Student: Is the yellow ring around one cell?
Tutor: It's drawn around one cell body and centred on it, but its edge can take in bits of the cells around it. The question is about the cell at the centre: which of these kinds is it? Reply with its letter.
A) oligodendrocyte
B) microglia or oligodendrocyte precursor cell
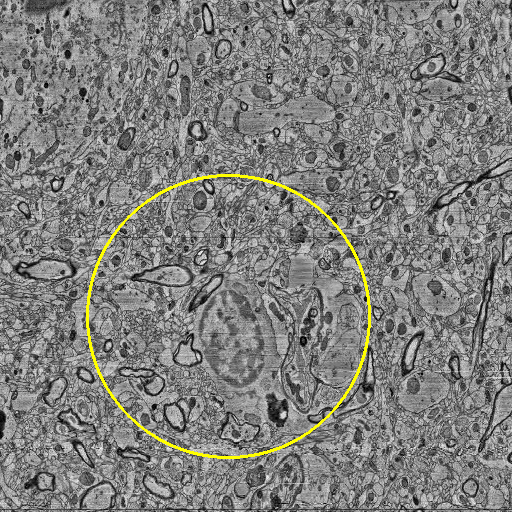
A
